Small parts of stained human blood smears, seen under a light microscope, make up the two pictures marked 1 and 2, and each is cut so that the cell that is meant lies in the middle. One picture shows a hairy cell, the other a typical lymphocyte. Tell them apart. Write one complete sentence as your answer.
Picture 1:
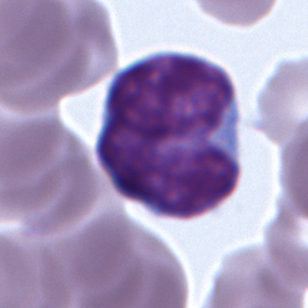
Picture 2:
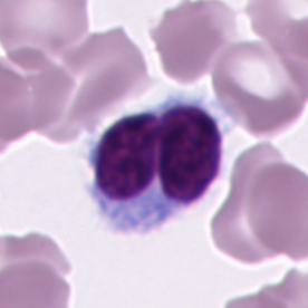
In picture 1 the cell is a typical lymphocyte; in picture 2, a hairy cell.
